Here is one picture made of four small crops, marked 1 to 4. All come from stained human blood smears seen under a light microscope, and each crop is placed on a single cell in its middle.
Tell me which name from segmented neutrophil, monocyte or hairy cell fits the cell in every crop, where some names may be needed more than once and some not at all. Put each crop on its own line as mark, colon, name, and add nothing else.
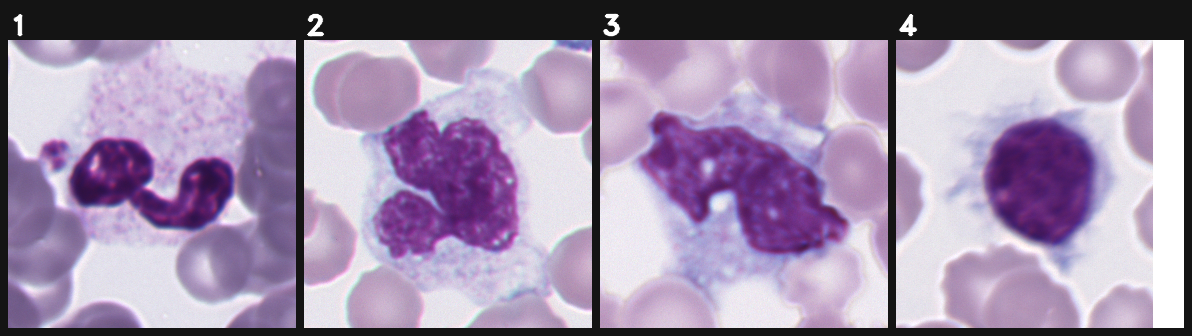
1: segmented neutrophil
2: monocyte
3: monocyte
4: hairy cell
